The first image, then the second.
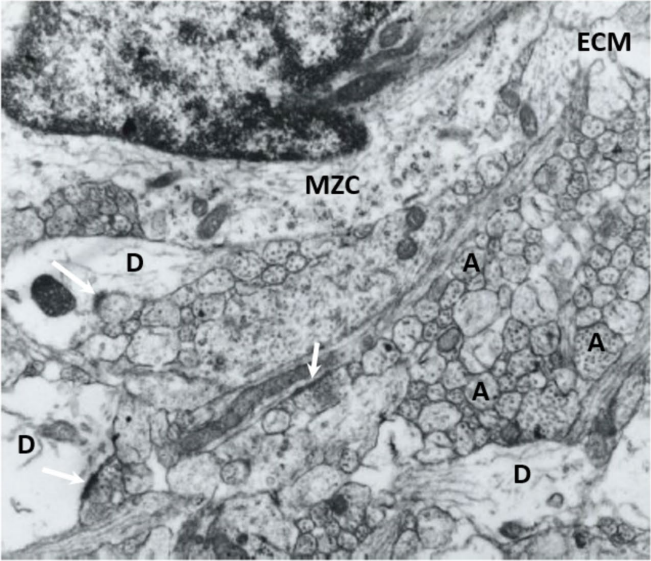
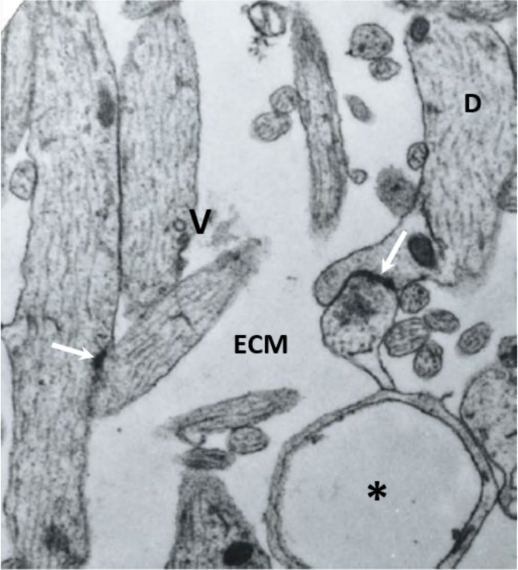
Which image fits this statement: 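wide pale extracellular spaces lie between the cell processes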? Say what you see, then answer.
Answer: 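Second image: large empty-looking areas separate scattered axon and dendrite profiles. First image: axon profiles are tightly packed with only a few pale spaces.
Hence: the second image.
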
